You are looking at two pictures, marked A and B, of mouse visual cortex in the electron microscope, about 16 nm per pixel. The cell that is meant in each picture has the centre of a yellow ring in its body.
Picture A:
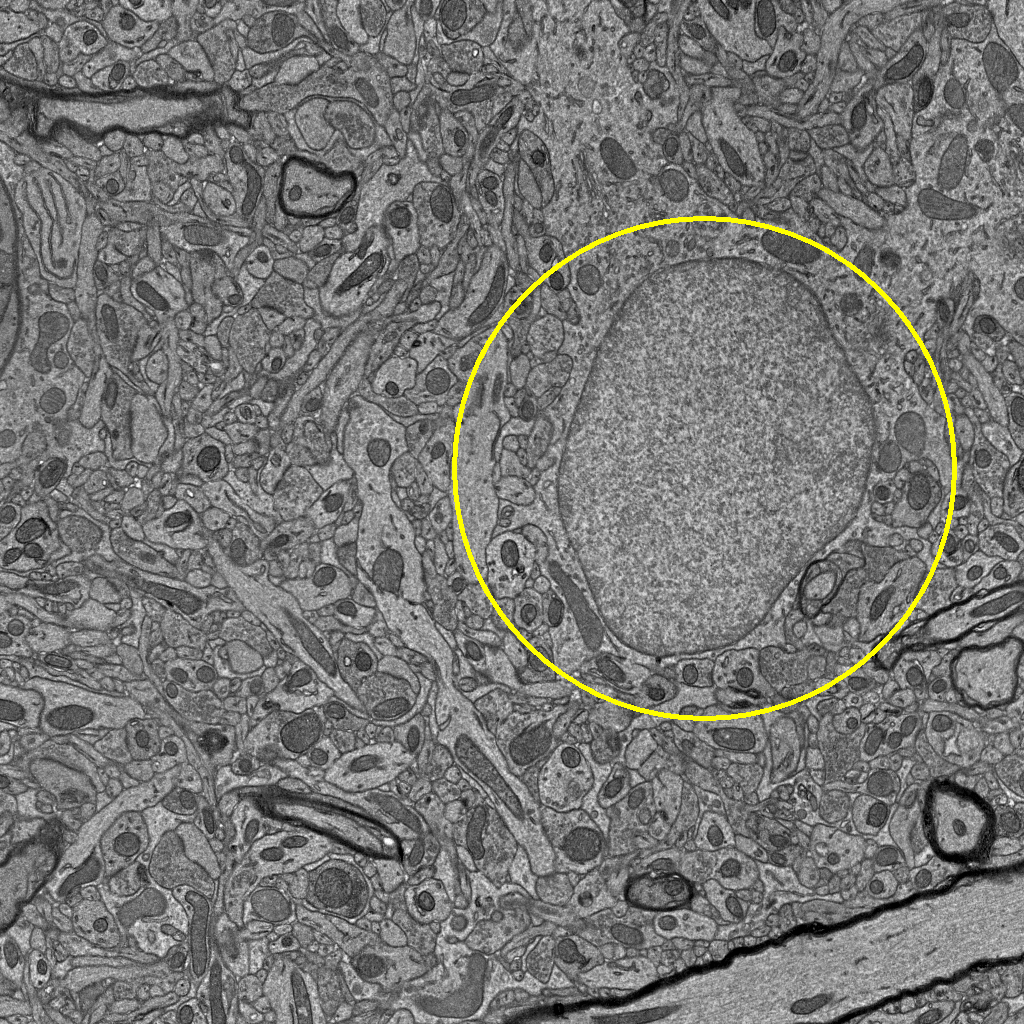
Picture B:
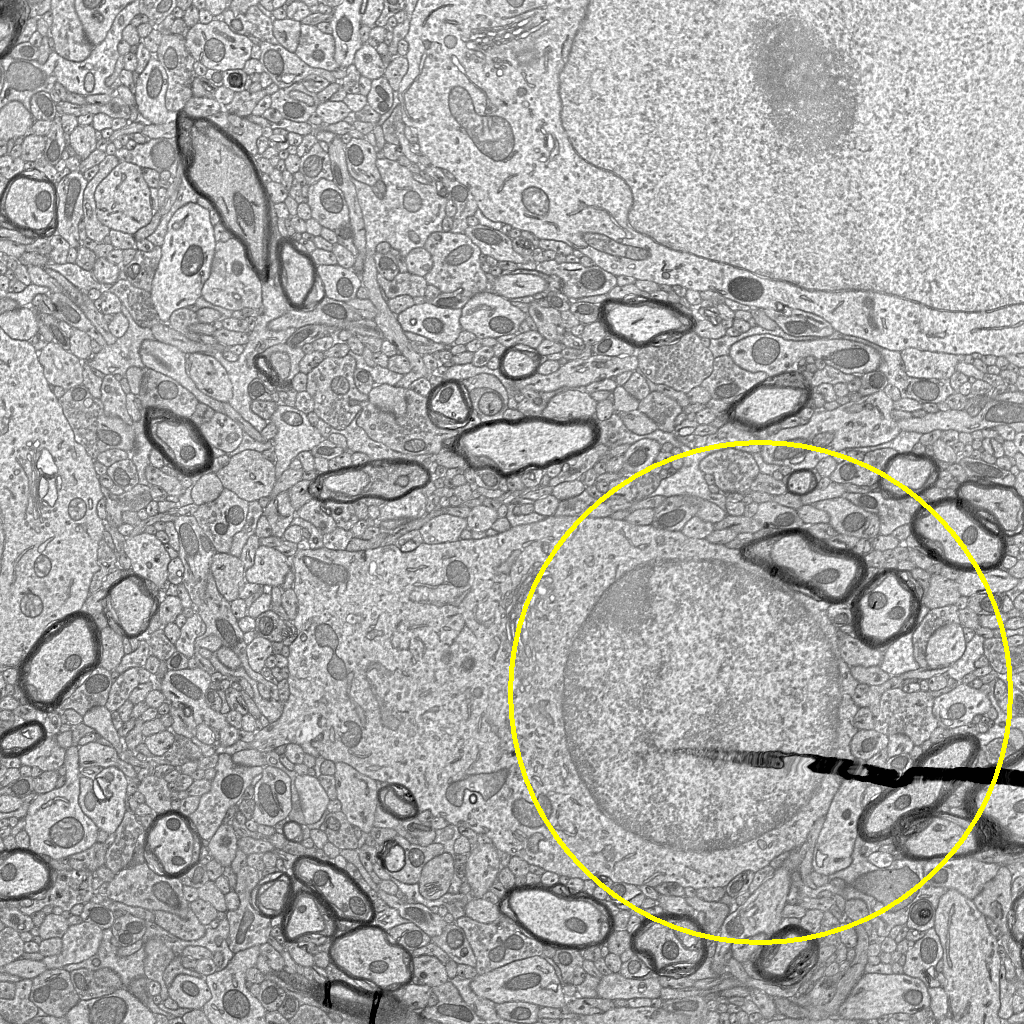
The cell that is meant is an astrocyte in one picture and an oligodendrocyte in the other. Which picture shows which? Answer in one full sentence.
It is picture A that shows an astrocyte, and picture B that shows an oligodendrocyte.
